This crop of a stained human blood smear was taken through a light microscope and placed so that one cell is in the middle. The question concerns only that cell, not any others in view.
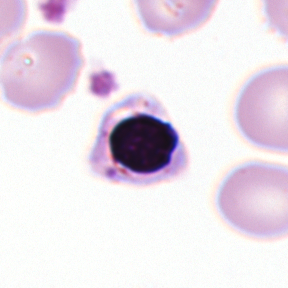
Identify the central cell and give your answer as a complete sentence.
The middle position in this crop is taken by a normoblast.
